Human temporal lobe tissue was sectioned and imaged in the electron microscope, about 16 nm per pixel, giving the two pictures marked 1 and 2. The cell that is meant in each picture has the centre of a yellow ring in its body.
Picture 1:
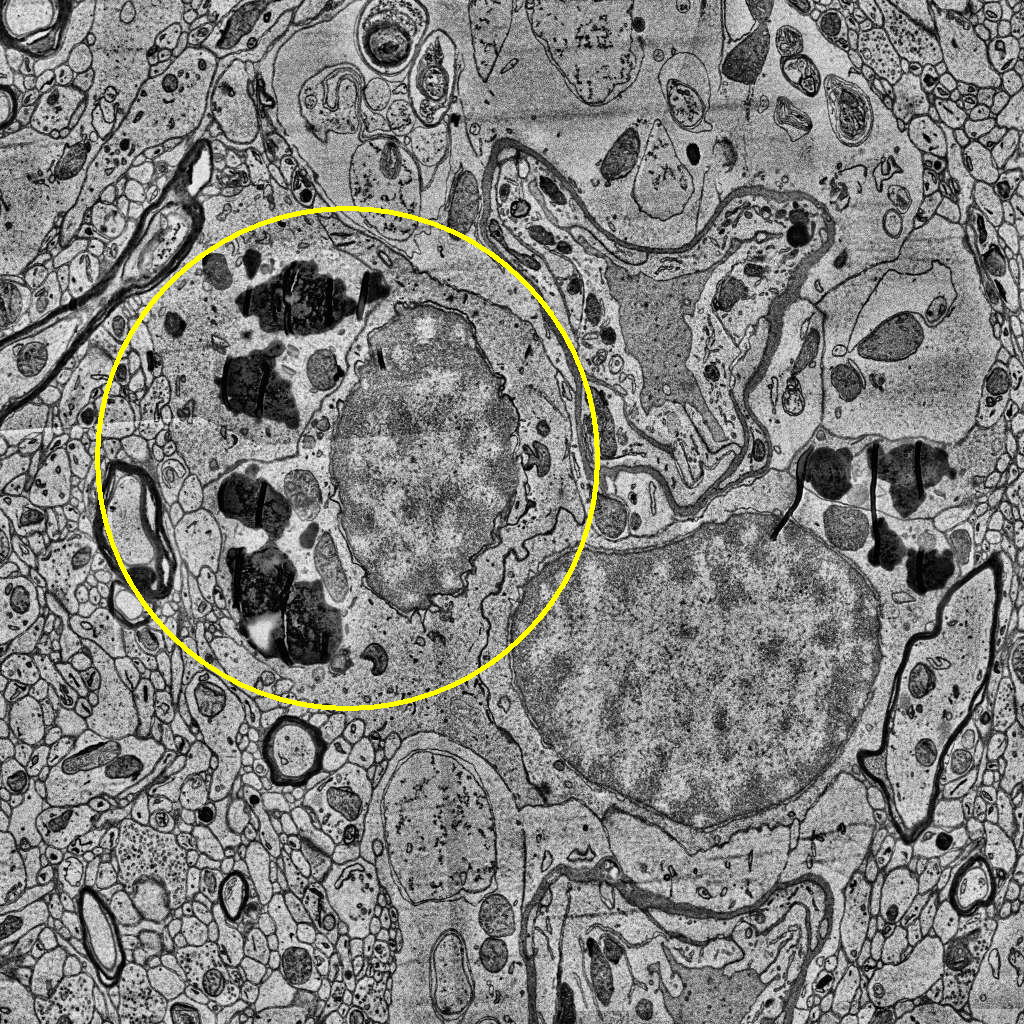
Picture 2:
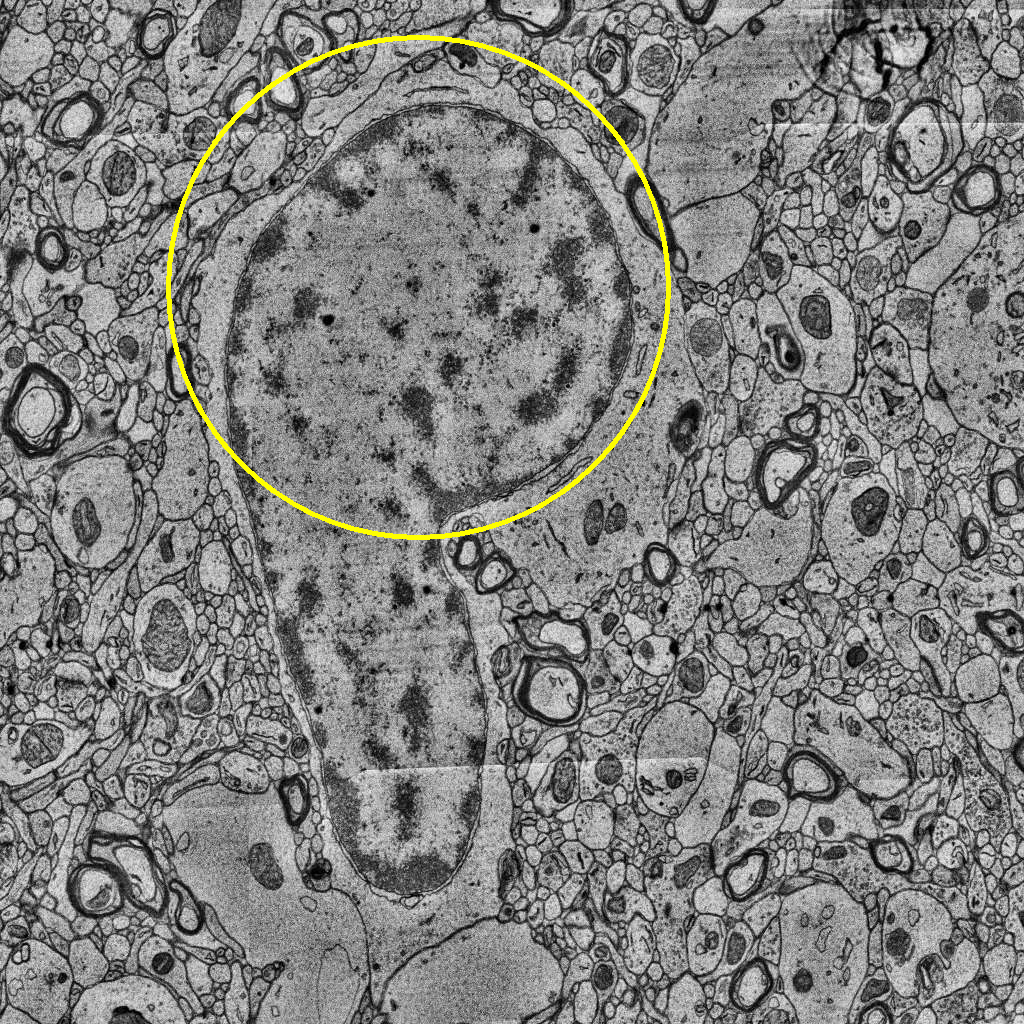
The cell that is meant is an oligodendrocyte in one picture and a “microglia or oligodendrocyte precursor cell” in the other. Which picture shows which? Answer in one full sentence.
Picture 2 shows a “microglia or oligodendrocyte precursor cell”, while picture 1 shows an oligodendrocyte.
